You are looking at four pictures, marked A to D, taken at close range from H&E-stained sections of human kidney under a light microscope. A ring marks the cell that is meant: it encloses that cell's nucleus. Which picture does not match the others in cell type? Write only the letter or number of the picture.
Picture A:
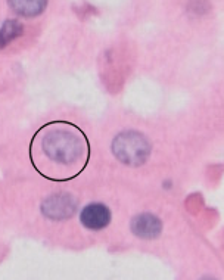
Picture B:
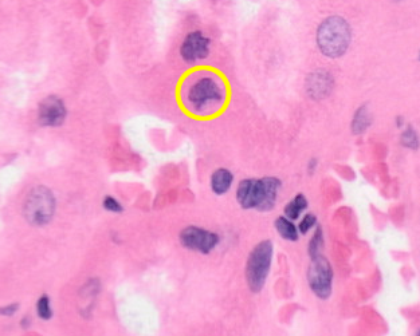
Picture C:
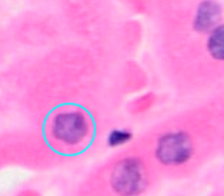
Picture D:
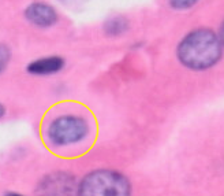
D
